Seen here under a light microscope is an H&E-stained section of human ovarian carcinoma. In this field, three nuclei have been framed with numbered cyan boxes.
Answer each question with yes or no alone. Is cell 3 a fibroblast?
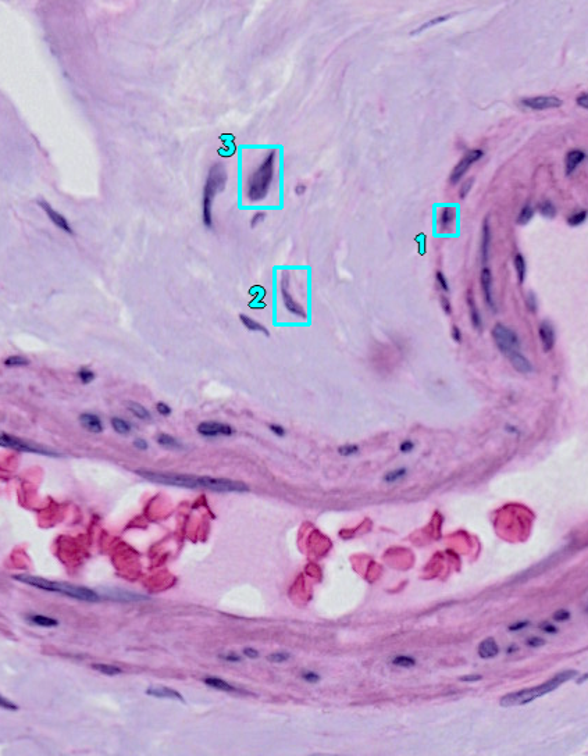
yes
